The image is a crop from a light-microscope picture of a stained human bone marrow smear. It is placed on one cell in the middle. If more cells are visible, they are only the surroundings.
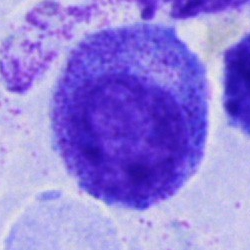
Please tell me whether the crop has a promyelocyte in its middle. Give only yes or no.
yes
